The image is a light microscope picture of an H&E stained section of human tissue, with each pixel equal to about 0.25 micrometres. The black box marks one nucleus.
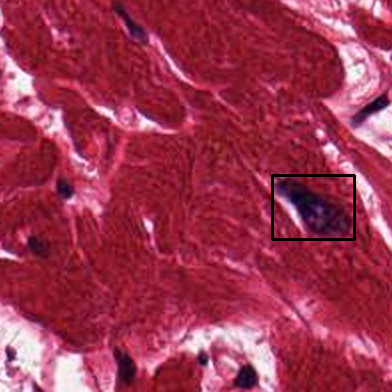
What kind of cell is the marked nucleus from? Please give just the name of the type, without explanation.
cardiomyocyte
